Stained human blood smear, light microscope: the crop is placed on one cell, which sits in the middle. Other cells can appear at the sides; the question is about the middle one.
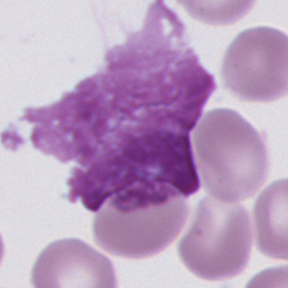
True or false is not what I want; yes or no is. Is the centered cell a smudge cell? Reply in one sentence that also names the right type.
Yes, the cell at the midpoint of the crop is a smudge cell.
